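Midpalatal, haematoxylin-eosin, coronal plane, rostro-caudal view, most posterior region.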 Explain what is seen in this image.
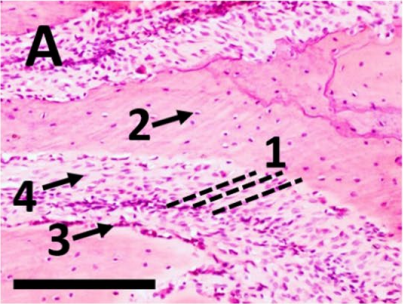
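Suture between two fronts of bone, with osteocyte-like cells in the bone, osteoblast-like cells on its surface and fibroblast-like cells in the ligament between. Along the bone edges a line of darker, crowded nuclei faces the soft tissue. Between the bone bands lies pale fibrous connective tissue packed with elongated, spindle-shaped purple nuclei; these and their fibres run obliquely, bridging from one bony front to the other. The bone margins are slightly irregular, with thin dark purple lines along them.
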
